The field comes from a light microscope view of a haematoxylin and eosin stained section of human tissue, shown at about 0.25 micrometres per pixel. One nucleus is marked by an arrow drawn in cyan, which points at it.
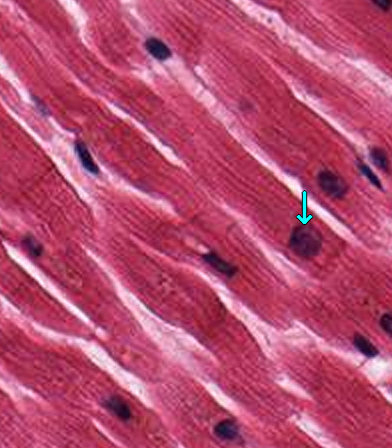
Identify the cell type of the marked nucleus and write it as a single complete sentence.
The nucleus indicated by the mark belongs to a cardiomyocyte.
